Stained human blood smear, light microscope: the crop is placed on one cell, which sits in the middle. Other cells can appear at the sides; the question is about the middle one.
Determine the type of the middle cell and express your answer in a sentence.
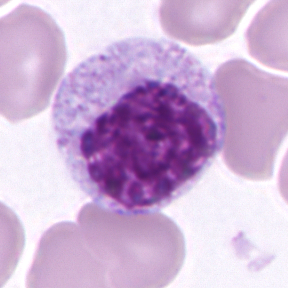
The cell in the exact centre of the crop is a myelocyte.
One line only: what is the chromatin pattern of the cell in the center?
This nucleus has coarsely clumped chromatin.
